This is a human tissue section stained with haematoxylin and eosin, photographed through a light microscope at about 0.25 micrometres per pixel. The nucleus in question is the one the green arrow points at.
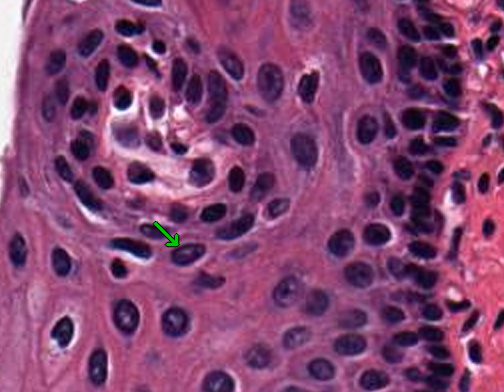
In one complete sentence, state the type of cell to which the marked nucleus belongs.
The nucleus bearing the mark belongs to a squamous epithelial cell.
